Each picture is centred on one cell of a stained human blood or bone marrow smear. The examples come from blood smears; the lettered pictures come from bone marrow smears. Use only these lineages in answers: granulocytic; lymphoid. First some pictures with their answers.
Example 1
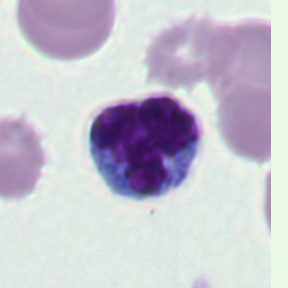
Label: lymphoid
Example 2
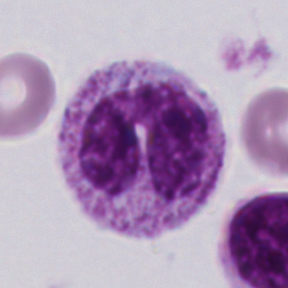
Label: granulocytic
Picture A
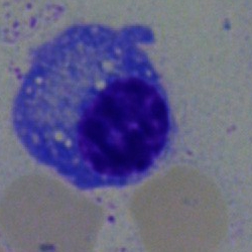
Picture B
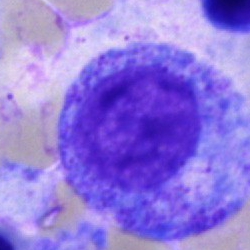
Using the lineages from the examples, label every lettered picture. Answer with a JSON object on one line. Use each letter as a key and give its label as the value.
{"A": "lymphoid", "B": "granulocytic"}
